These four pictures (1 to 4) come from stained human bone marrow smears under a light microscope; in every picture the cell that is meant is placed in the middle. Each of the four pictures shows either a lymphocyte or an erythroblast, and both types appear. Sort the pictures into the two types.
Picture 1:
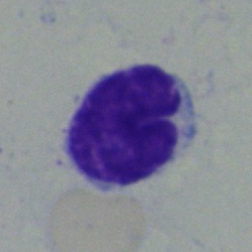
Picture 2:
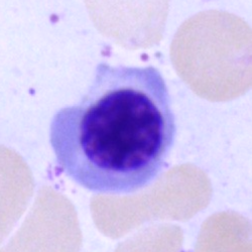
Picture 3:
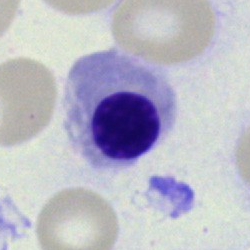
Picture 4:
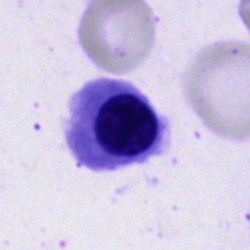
1: lymphocyte
2: erythroblast
3: erythroblast
4: erythroblast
